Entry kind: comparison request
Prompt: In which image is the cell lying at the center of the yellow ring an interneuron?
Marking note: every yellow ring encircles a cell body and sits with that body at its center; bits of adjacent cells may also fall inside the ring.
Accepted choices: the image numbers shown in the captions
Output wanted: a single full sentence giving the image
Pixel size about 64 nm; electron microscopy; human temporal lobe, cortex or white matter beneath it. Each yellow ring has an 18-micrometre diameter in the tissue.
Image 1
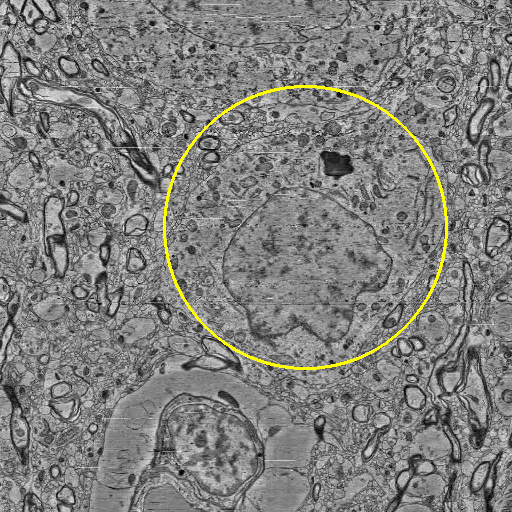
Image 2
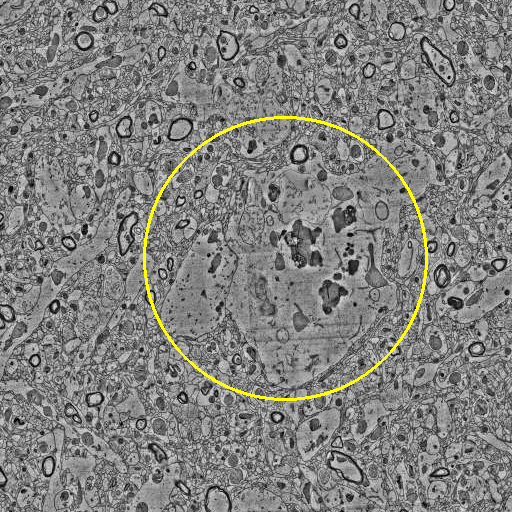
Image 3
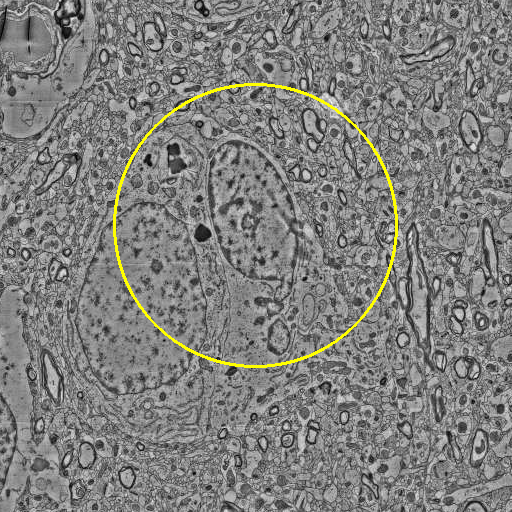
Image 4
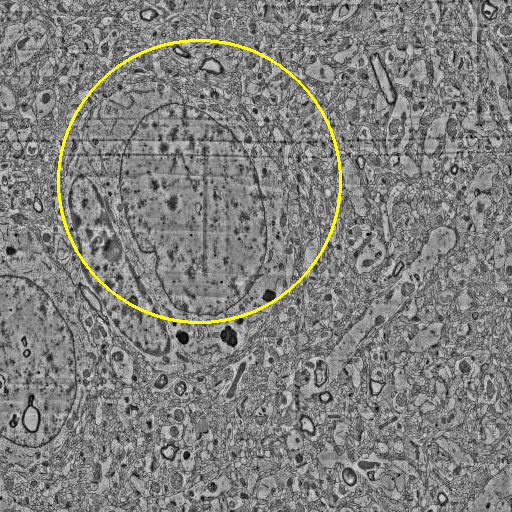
In image 1, the ringed cell at the center matches the prompt.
